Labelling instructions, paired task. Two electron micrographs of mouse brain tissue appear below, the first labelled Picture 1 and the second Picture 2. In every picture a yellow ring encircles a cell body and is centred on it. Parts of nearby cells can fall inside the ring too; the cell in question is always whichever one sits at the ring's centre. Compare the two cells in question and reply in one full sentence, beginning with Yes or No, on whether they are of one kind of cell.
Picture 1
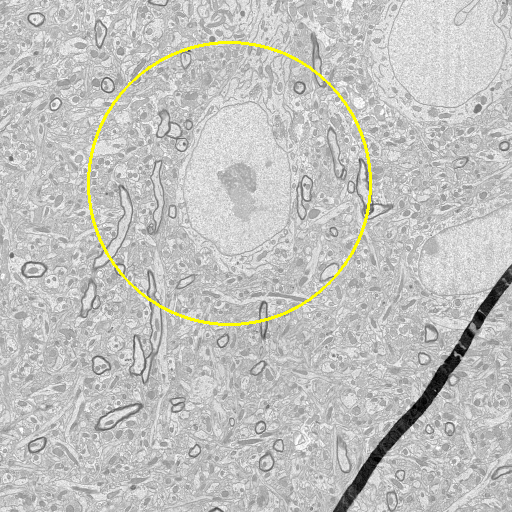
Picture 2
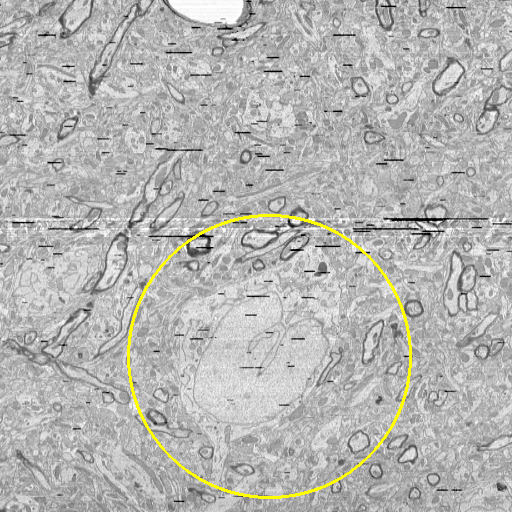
Yes, the two cells at the ring centres in Picture 1 and Picture 2 are of one kind.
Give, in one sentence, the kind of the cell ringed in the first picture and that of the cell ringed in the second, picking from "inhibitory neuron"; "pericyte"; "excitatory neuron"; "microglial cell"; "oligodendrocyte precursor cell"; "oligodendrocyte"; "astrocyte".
Each of the ringed cells, first and second, is an inhibitory neuron.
